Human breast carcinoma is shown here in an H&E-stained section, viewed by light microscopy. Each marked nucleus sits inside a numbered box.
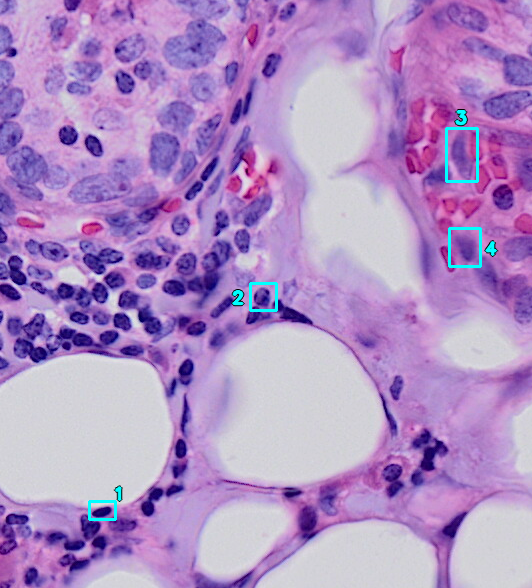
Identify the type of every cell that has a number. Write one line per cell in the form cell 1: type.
cell 1: lymphocyte
cell 2: lymphocyte
cell 3: endothelial cell
cell 4: endothelial cell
